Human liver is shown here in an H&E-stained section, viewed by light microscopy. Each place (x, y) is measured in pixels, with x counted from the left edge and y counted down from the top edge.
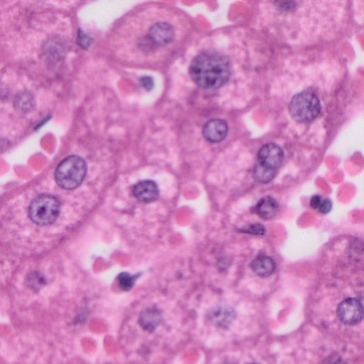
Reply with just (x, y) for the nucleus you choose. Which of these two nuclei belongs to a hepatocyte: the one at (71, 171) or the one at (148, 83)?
(71, 171)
